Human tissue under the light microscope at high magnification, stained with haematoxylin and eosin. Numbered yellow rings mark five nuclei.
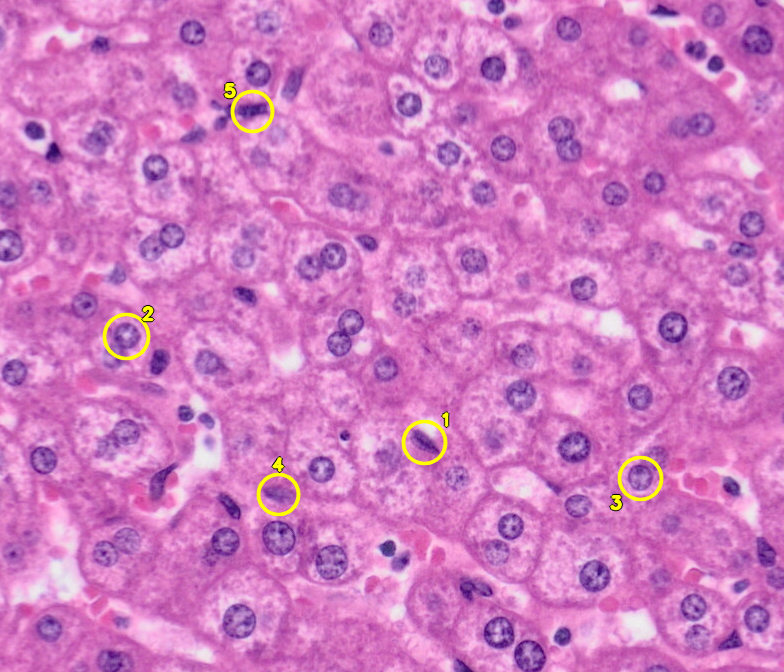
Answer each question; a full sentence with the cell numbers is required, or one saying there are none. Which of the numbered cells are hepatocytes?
The cells with the number labels 2 and 3 are hepatocytes.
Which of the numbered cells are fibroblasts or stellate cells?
Cell 5 is the one numbered cell that is a fibroblast or stellate cell.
